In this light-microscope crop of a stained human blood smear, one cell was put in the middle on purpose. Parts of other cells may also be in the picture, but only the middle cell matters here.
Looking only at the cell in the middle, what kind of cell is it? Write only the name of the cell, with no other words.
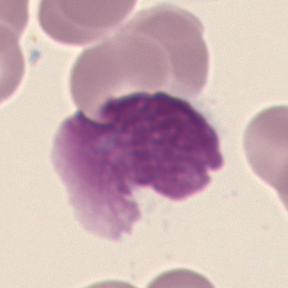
smudge cell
